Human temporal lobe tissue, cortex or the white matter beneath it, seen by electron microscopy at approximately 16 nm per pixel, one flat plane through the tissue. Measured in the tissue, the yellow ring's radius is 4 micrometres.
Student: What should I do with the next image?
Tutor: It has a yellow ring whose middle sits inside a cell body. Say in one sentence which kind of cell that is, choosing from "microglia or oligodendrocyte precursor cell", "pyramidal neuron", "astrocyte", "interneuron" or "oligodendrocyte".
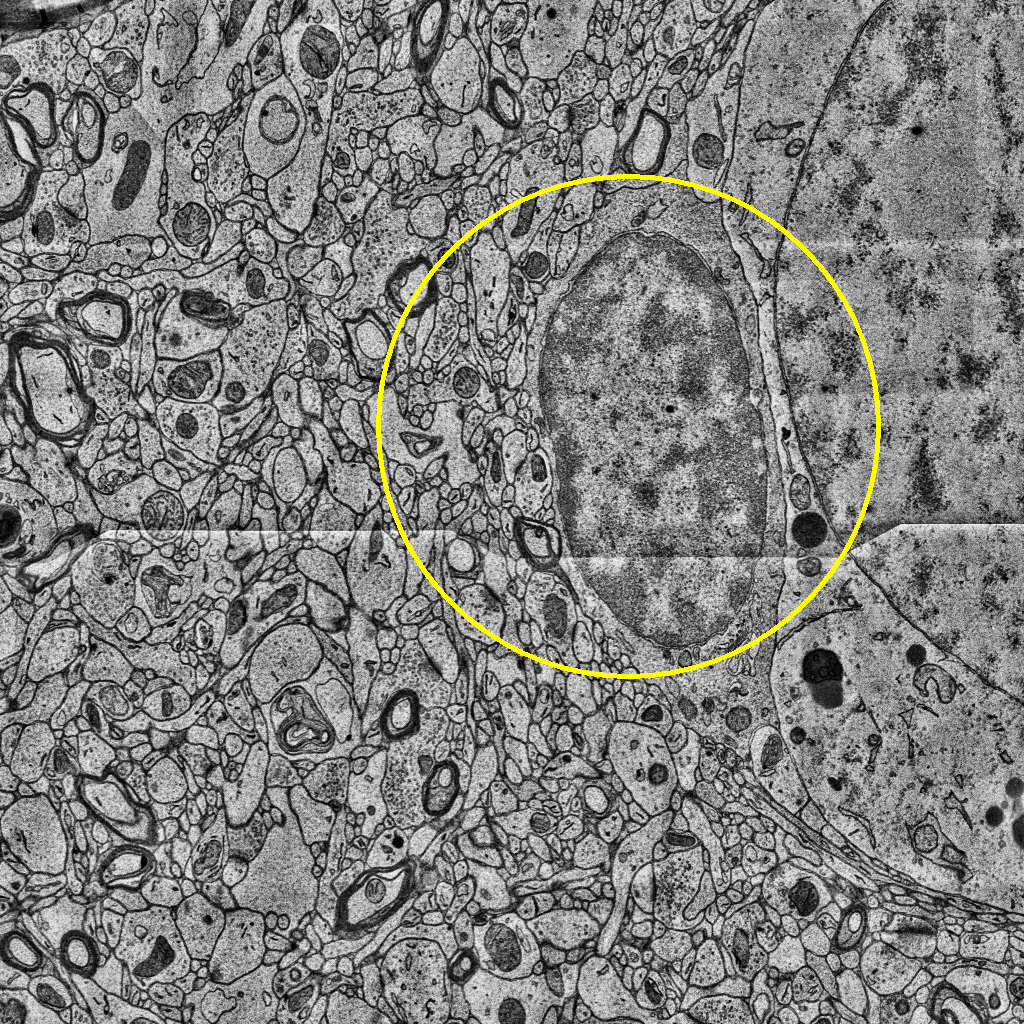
The ring's centre is occupied by an oligodendrocyte.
